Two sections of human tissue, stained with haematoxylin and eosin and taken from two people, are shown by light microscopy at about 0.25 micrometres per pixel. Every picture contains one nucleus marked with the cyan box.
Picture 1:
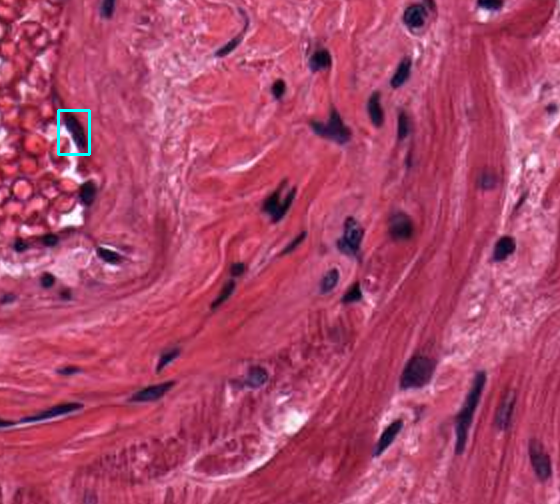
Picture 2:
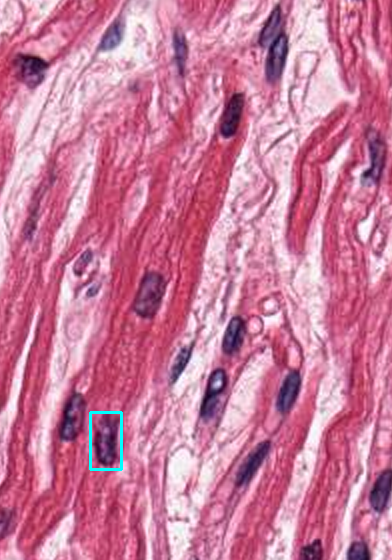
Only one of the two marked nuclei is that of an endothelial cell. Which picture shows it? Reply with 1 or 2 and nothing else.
1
